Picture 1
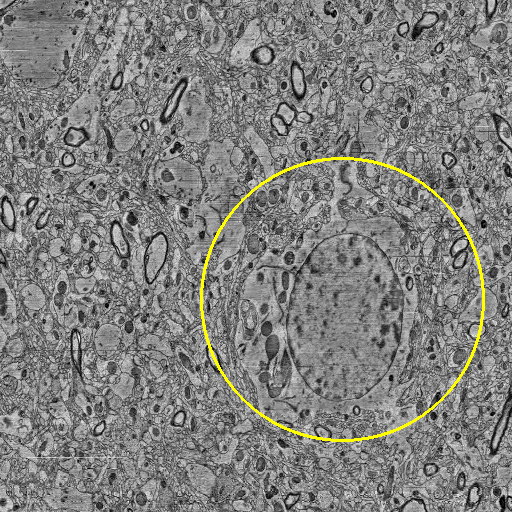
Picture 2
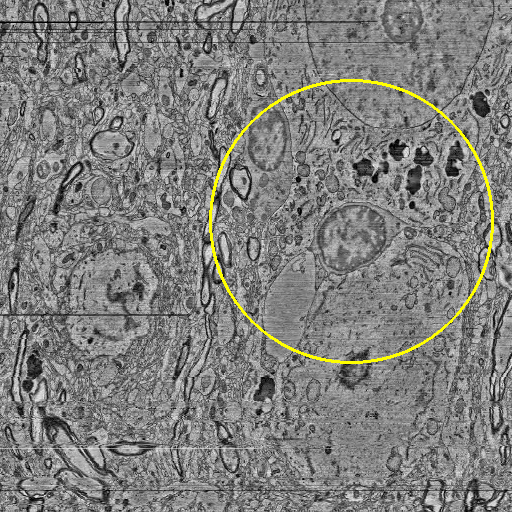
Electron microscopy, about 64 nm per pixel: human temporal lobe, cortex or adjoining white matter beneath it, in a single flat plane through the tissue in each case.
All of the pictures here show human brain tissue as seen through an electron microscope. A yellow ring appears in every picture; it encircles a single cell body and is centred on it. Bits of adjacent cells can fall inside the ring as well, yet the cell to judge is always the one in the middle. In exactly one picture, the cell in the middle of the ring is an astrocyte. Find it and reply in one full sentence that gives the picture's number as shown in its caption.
Of all the pictures, picture 1 has the right cell at the centre of its ring.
